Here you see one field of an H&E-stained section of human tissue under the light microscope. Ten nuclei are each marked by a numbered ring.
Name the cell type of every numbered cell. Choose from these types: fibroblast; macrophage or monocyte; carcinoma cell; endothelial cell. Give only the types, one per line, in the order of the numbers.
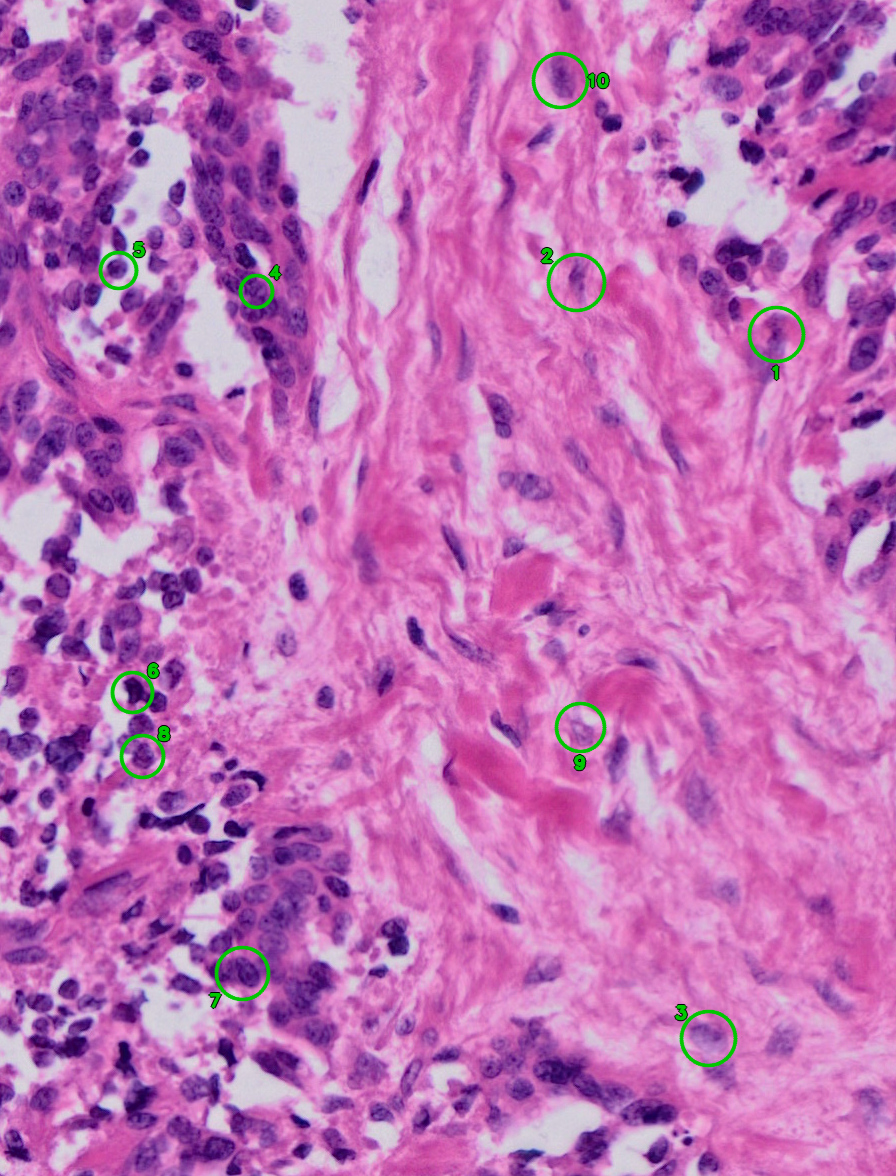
fibroblast
fibroblast
fibroblast
carcinoma cell
carcinoma cell
carcinoma cell
carcinoma cell
carcinoma cell
fibroblast
fibroblast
